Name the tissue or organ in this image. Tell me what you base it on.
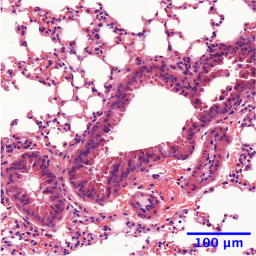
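A branching airway lined by tall epithelial cells with purple nuclei. Many small empty air spaces with thin walls around it.
Conclusion: lung tissues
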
